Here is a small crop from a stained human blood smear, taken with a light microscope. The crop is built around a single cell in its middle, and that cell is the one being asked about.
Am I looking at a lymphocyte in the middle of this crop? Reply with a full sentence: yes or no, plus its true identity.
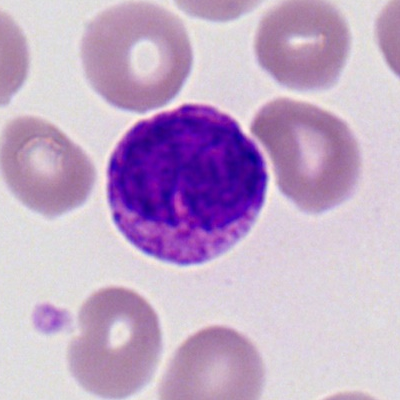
No, what lies at the heart of the crop is a basophil, not a lymphocyte.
